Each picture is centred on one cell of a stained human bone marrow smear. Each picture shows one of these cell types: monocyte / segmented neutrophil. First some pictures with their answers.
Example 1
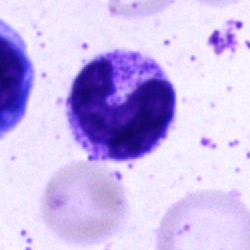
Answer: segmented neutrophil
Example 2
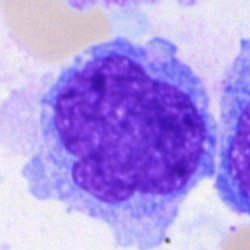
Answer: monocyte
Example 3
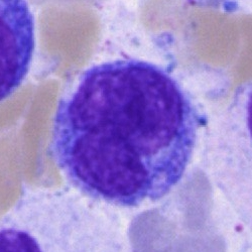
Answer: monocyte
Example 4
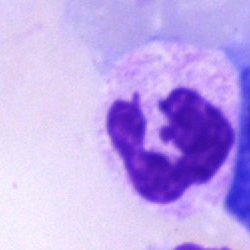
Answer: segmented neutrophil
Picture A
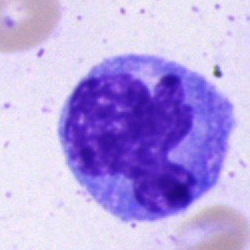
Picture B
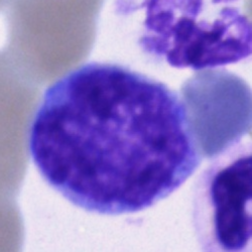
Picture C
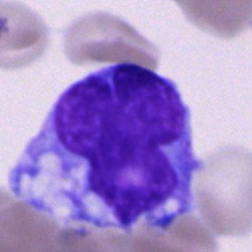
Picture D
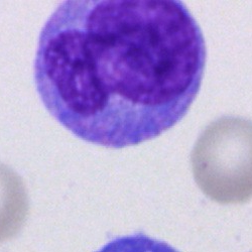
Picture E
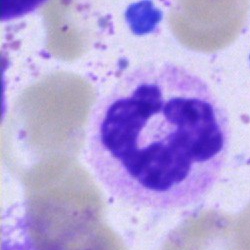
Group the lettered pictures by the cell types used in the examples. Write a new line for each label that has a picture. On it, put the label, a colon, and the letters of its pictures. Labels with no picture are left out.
monocyte: A, B, C, D
segmented neutrophil: E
